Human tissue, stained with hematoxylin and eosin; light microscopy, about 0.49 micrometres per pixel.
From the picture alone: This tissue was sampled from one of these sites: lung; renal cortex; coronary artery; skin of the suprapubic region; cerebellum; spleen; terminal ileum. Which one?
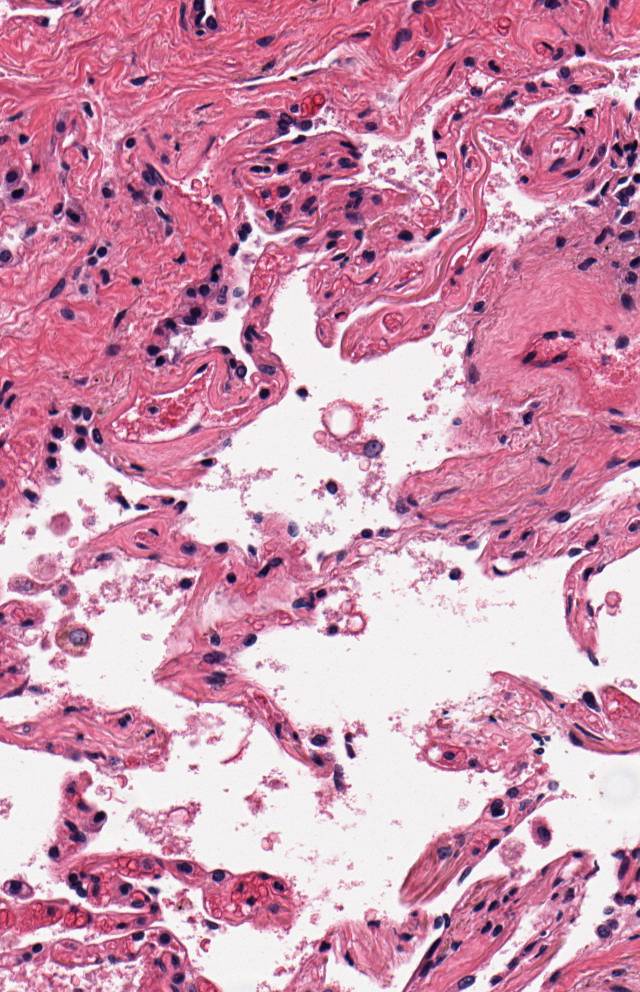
lung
